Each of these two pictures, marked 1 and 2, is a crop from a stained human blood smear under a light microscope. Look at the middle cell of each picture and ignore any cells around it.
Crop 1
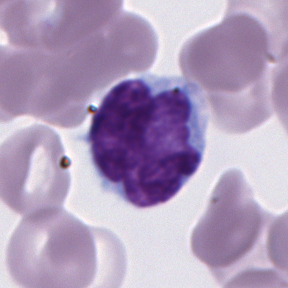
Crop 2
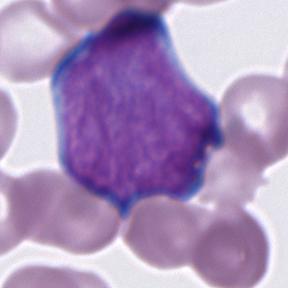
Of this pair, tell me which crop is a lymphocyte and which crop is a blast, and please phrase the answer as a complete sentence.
Crop 1 and crop 2 are a lymphocyte and a blast, in that order.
